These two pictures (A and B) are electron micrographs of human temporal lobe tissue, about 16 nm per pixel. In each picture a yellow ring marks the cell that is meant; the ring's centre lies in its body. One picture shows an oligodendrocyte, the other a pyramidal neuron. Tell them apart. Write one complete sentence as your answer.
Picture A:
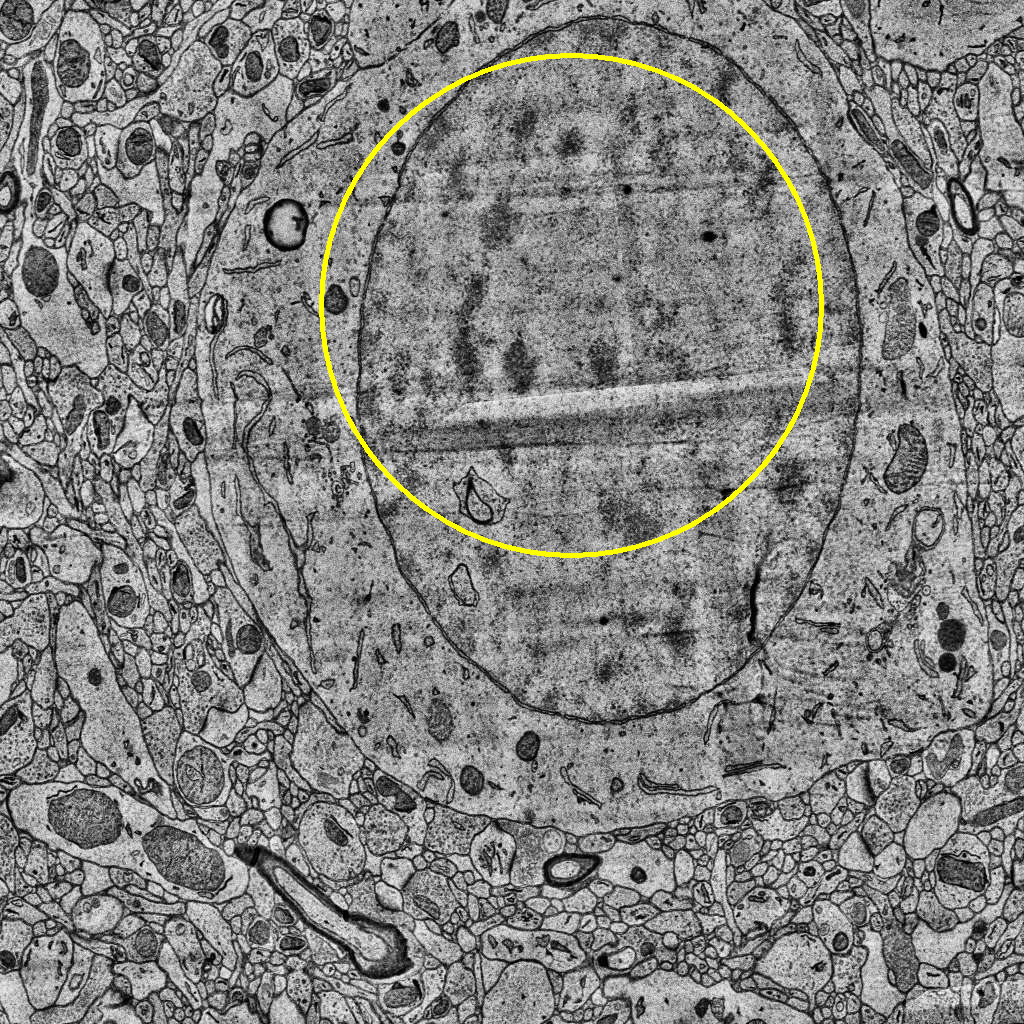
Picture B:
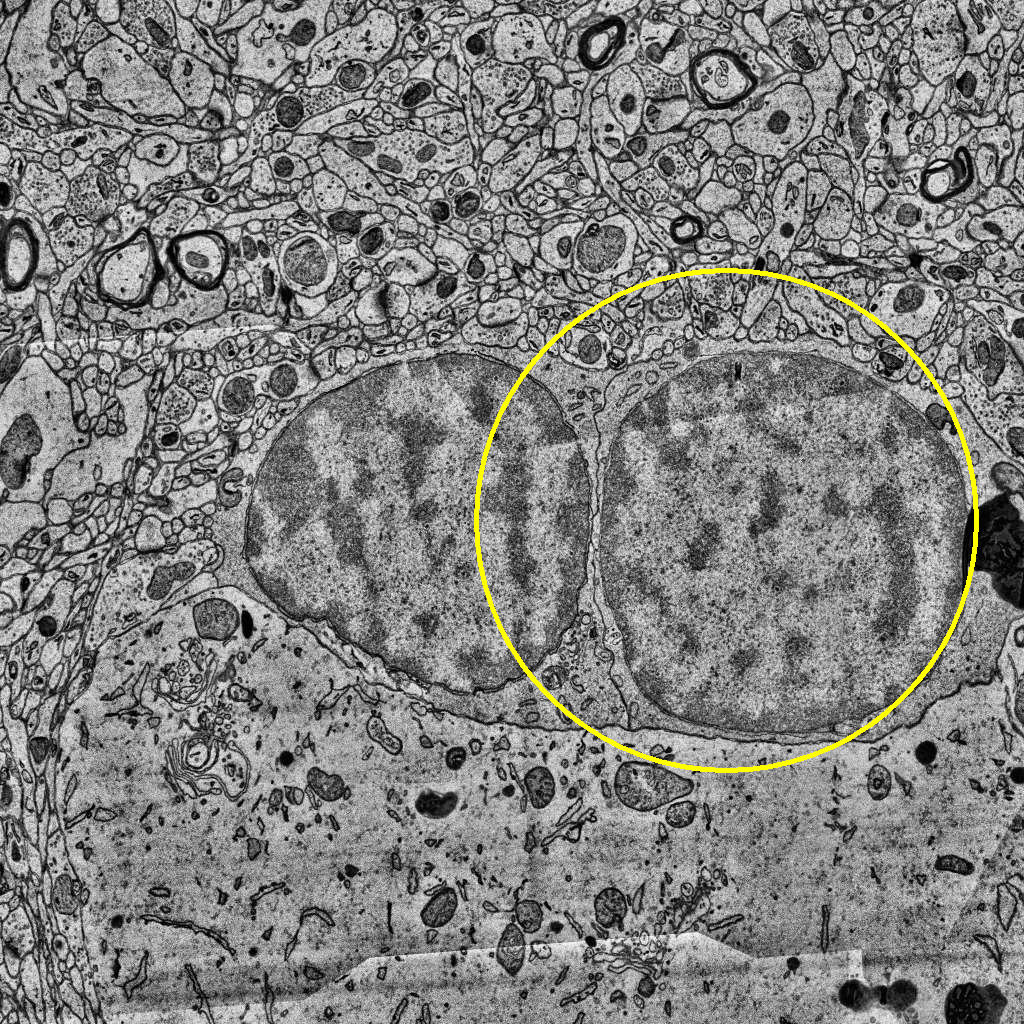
The cell in picture A is a pyramidal neuron, and the one in picture B is an oligodendrocyte.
